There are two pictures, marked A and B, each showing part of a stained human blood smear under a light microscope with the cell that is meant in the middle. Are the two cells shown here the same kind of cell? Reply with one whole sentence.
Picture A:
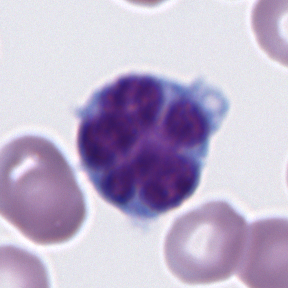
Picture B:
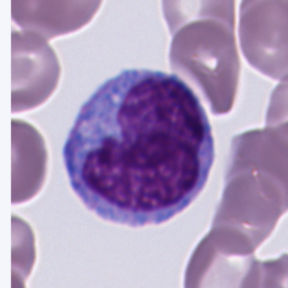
Yes, they are the same type: both are monocytes.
